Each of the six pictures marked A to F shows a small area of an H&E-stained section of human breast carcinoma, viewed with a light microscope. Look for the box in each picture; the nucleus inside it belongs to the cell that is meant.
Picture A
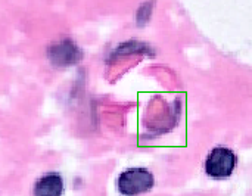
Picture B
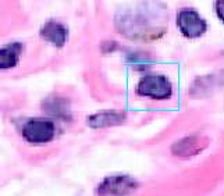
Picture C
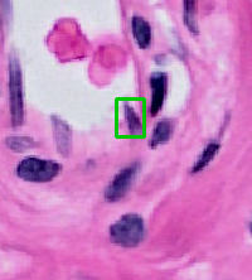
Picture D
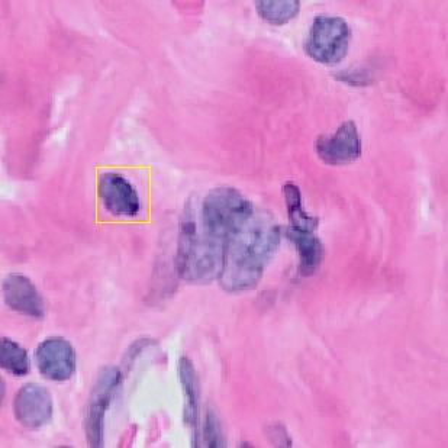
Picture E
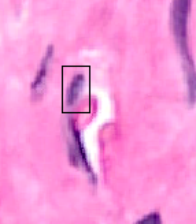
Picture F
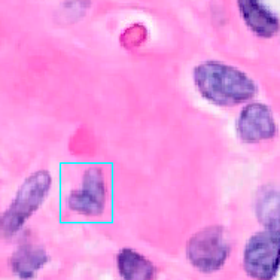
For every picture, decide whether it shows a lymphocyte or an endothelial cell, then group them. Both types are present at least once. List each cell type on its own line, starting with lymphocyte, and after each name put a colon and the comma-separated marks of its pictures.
lymphocyte: B, D
endothelial cell: A, C, E, F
